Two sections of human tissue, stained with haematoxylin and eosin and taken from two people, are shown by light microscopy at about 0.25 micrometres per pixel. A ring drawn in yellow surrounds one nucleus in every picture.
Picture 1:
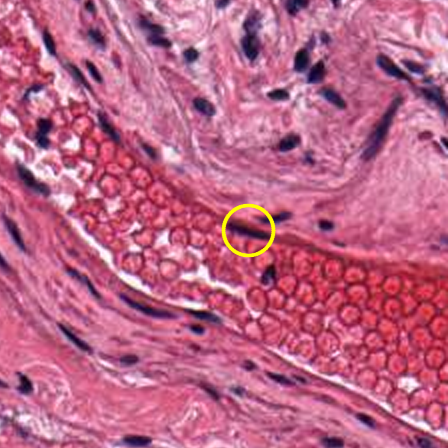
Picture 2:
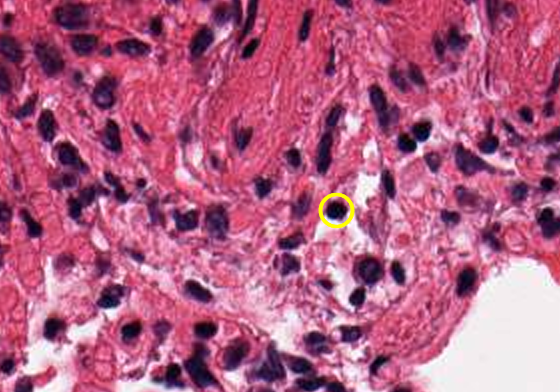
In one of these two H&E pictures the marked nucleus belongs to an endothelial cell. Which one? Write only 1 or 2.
1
